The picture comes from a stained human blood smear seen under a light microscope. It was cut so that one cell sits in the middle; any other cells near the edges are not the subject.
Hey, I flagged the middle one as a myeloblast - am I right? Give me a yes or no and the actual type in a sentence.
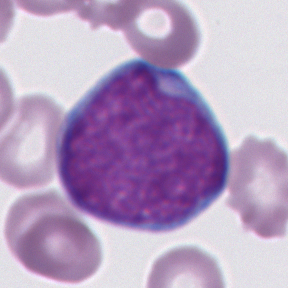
Yes, a myeloblast occupies the middle of the crop.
